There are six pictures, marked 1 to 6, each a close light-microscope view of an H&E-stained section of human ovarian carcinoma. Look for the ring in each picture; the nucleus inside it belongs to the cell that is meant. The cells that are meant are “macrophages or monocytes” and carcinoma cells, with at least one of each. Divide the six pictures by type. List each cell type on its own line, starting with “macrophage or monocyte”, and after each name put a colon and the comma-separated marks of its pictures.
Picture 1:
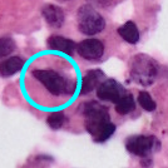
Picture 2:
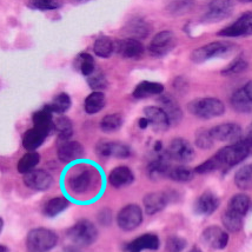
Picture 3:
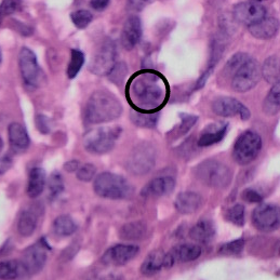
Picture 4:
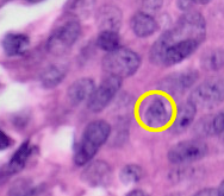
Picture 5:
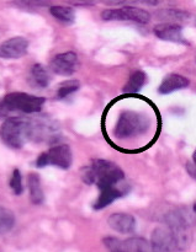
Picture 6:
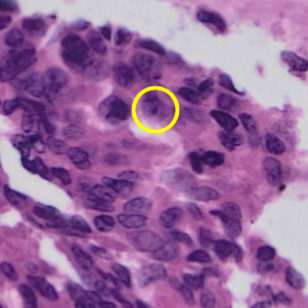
macrophage or monocyte: 1, 4
carcinoma cell: 2, 3, 5, 6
